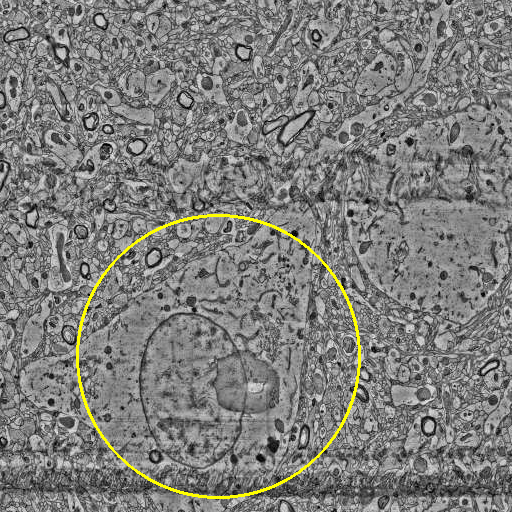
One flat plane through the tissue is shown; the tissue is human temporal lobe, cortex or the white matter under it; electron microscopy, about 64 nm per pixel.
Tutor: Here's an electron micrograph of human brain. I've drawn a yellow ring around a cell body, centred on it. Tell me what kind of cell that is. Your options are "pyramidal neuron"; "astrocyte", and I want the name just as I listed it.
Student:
pyramidal neuron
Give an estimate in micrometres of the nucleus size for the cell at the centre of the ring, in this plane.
The ringed cell's nucleus is about 10 micrometres long and 7 micrometres wide in this plane.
